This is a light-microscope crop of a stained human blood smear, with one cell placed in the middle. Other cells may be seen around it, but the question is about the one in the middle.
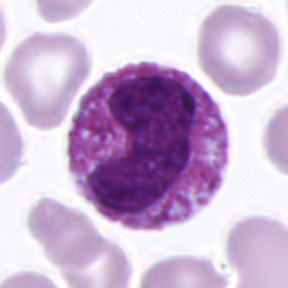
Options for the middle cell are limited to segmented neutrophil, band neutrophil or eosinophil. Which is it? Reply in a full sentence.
The crop centres on a single cell, and that cell is an eosinophil.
